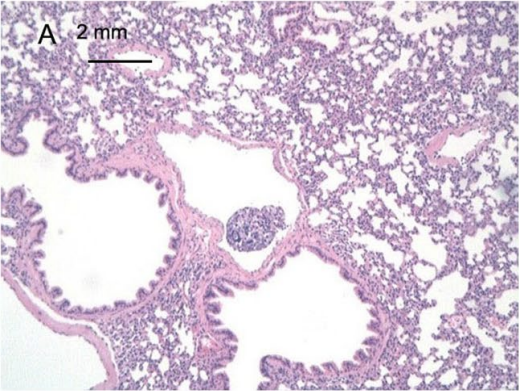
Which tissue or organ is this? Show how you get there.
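Many thin-walled air spaces separated by thin septa. Airways lined by folded epithelium. Thin-walled vessel near the airways.
Answer: lungs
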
